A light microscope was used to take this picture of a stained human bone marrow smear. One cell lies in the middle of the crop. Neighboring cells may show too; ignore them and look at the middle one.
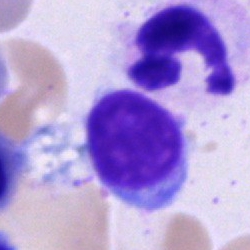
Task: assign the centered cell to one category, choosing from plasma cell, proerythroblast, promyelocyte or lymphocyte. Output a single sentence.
The cell at the central position in this crop is a lymphocyte.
